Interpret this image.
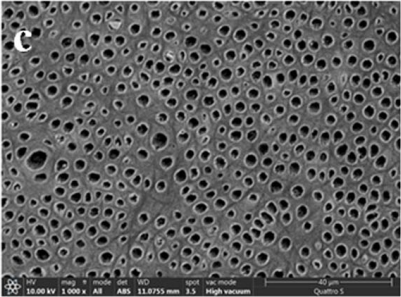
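Dentin cut across its tubules, showing a dense field of dark tubule openings in a grey intertubular matrix. The openings vary in diameter and outline, from small round to larger oval or irregular ones, and the matrix between them is unevenly shaded rather than uniform.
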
